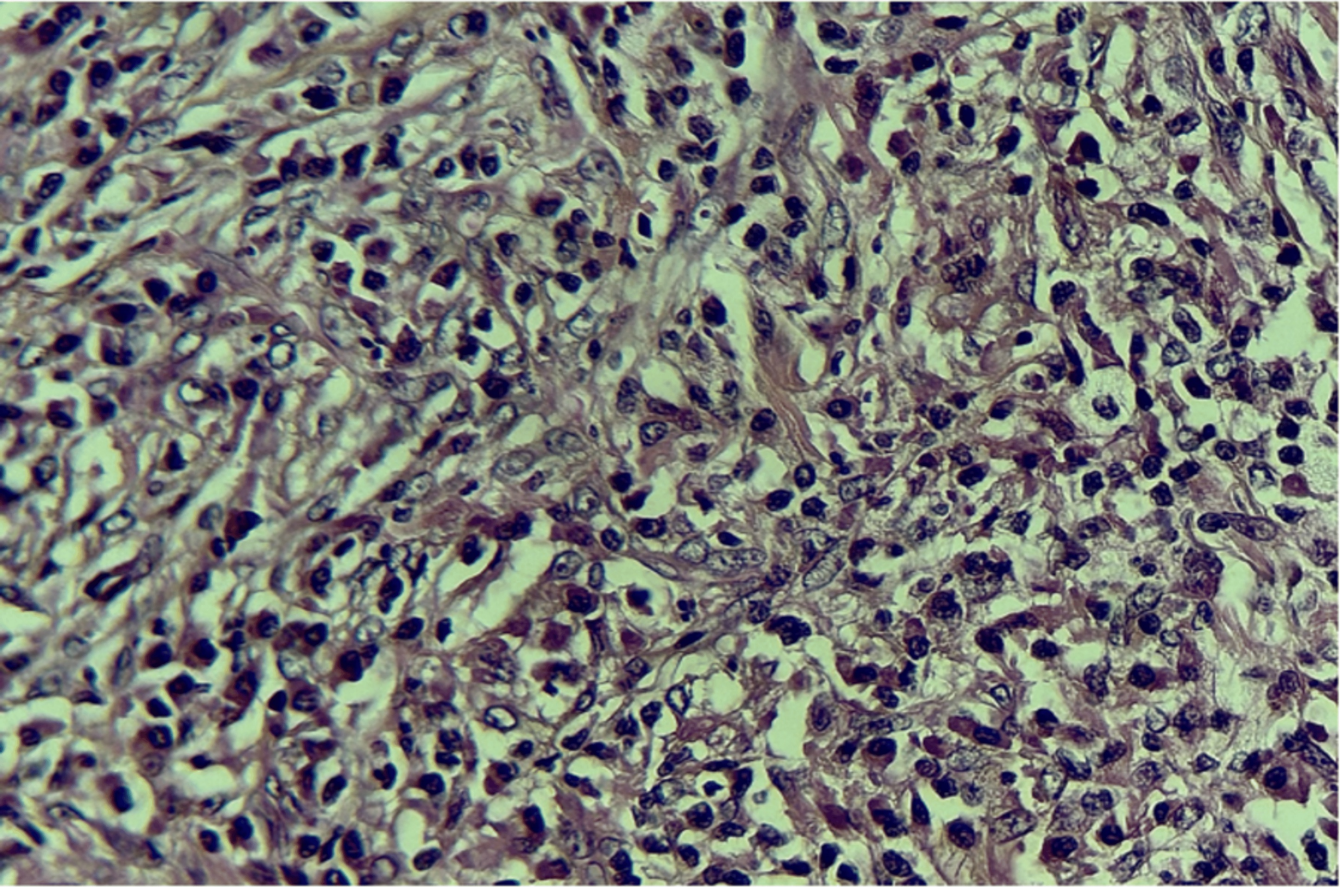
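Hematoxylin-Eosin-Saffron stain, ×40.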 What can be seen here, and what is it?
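This is a densely cellular tumor in which elongated tumor cells lie in loose streaming rows, set in a fibro-inflammatory stroma. The tumor cells have enlarged oval to elongated nuclei that differ in size and shade, several of them dark and hyperchromatic, with some paler nuclei showing fine chromatin. Around the nuclei is a fair amount of pinkish to brownish cytoplasm, drawn out along the long axis of the cells. Between them run fine fibrillar strands and clear spaces. Scattered everywhere, and most crowded in the middle and right of the field, are many small cells with round, dense dark nuclei, the inflammatory cells of the stroma.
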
